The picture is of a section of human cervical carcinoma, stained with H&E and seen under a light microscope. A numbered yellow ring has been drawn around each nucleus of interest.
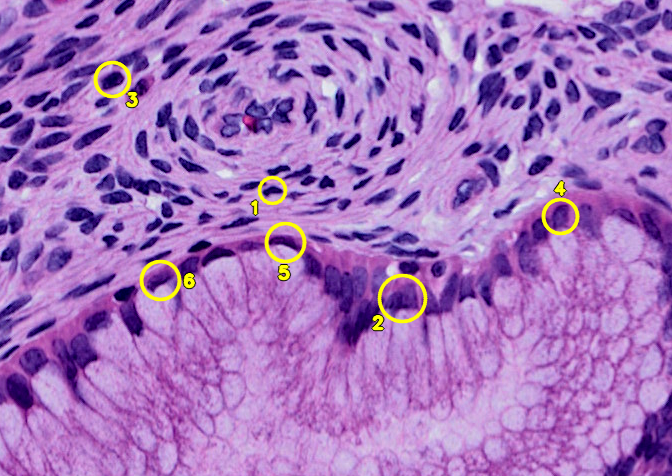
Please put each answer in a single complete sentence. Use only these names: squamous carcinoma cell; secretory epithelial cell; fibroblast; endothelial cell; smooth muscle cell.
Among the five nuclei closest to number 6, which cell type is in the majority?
The majority of the five nuclei closest to number 6 belong to secretory epithelial cells.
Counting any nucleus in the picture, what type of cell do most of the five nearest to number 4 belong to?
Of the five nuclei nearest to number 4, most belong to secretory epithelial cells.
